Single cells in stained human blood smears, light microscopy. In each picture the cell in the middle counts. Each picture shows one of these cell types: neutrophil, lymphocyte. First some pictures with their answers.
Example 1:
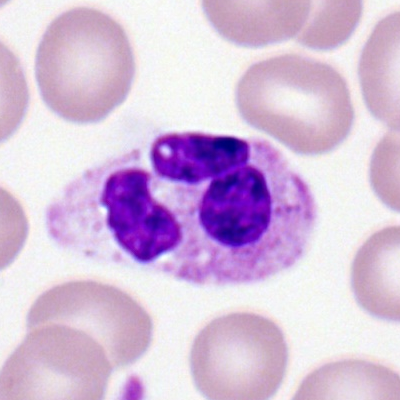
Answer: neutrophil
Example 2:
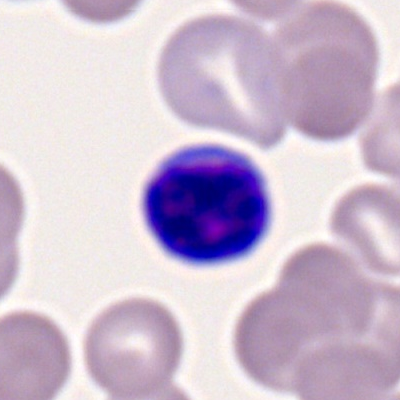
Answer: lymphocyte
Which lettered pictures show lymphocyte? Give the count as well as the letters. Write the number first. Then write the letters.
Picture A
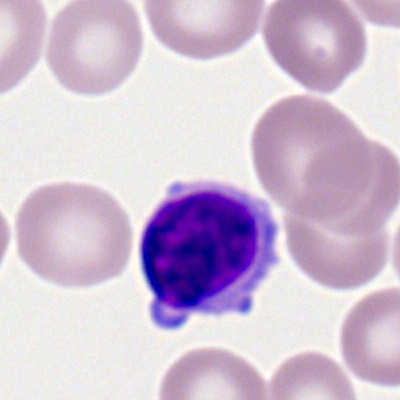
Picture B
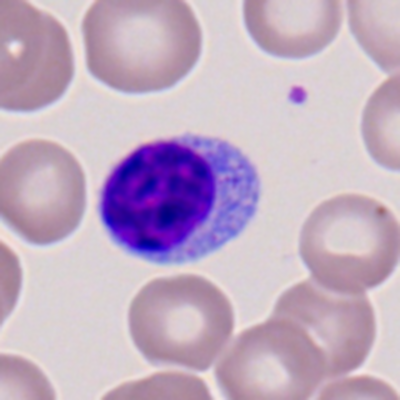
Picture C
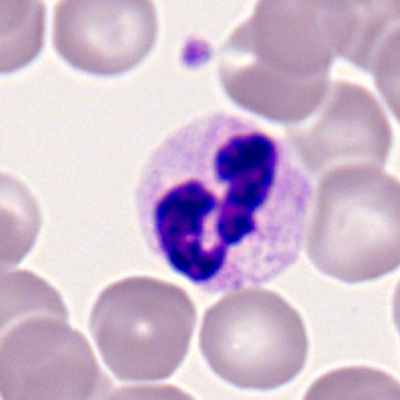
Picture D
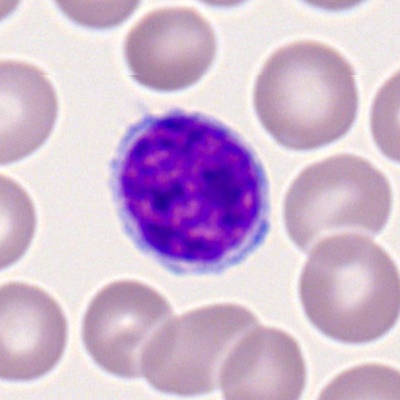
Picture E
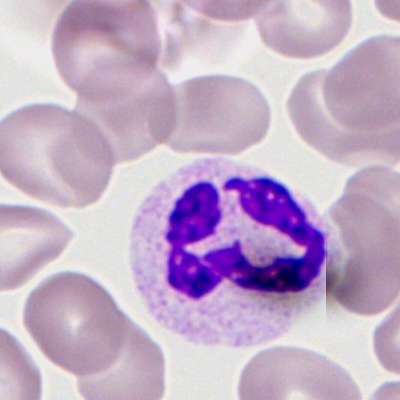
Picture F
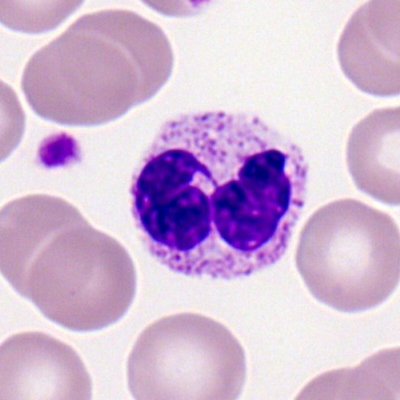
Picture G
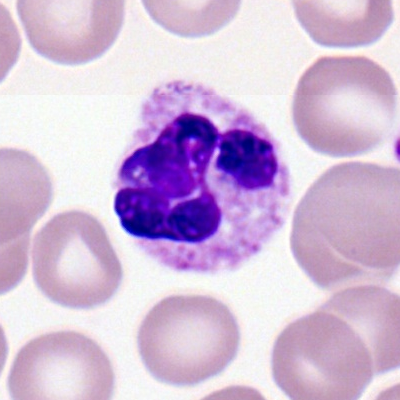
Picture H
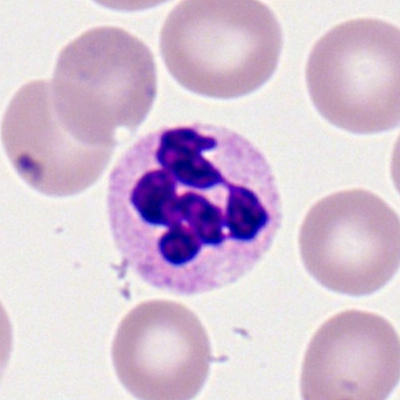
3: A, B, D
